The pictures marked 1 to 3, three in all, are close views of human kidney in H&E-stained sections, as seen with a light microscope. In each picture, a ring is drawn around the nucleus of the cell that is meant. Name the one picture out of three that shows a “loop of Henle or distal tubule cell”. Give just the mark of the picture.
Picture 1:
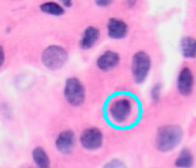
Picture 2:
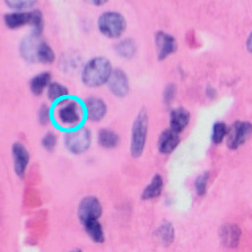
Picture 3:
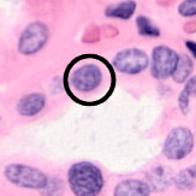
1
